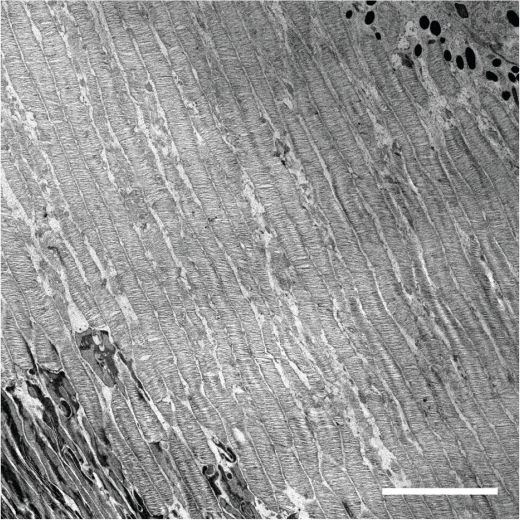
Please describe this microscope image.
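This electron micrograph shows photoreceptor outer segments of the retina, packed side by side in a regular parallel array that runs diagonally across the field. Each outer segment is filled with tightly stacked, transverse membrane discs, which give a finely striated texture. Narrow pale spaces separate neighbouring outer segments. Dense black granules at the top edge lie where the outer segment tips meet the pigmented layer.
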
